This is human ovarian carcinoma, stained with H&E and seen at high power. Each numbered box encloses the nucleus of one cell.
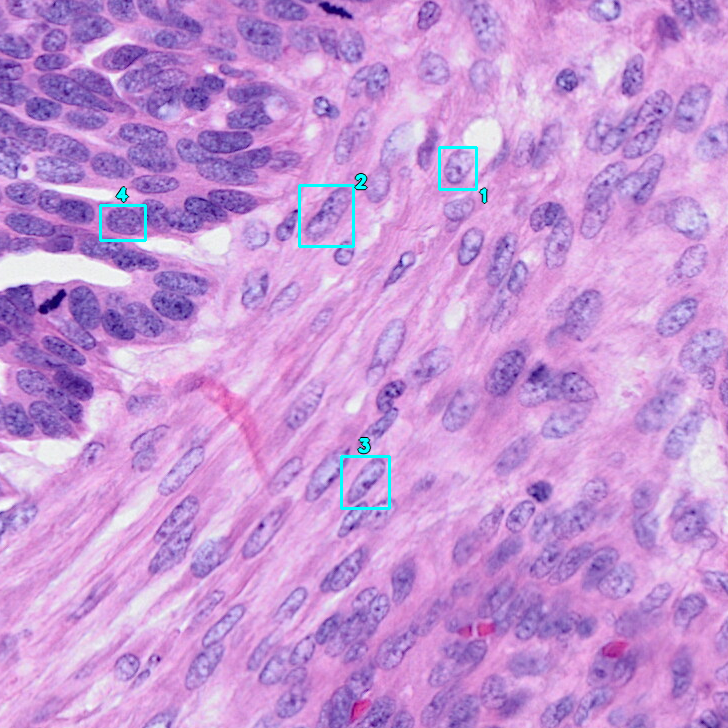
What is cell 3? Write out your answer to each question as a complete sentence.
Cell 3, as marked in the section, is a fibroblast.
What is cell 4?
Denoted by the label 4 in the section is a carcinoma cell.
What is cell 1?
The identity of cell 1 is that of a fibroblast.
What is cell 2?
Within this field of view, the cell labelled 2 is a fibroblast.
